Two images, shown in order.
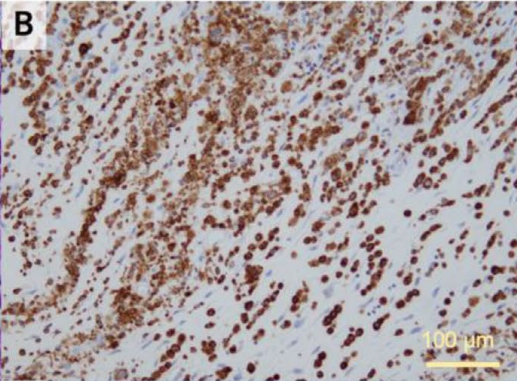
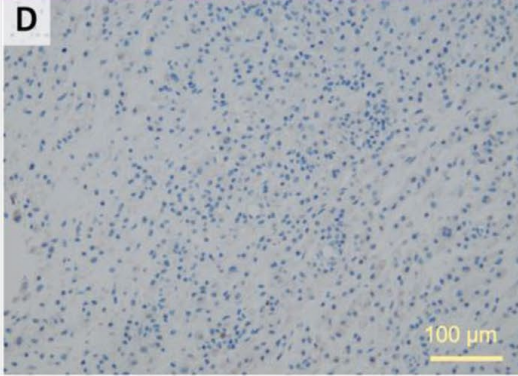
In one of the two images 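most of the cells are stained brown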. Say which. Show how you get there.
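Second image: only blue nuclei on a pale background, no brown staining. First image: dense brown staining of most cells across the field.
Answer: the first image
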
